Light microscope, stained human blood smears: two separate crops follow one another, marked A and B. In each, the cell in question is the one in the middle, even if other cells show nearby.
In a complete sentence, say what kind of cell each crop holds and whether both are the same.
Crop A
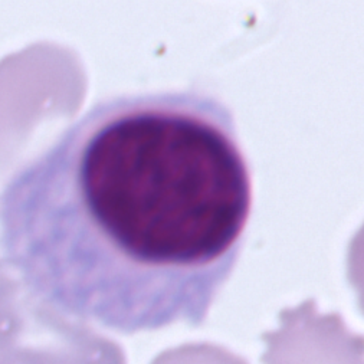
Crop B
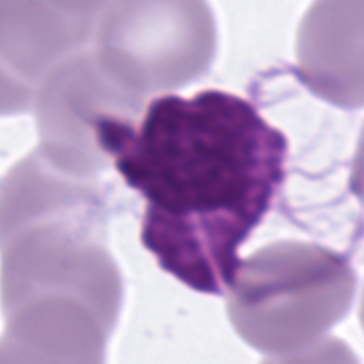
No, the cell in crop A is a hairy cell, and the cell in crop B is a smudge cell.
